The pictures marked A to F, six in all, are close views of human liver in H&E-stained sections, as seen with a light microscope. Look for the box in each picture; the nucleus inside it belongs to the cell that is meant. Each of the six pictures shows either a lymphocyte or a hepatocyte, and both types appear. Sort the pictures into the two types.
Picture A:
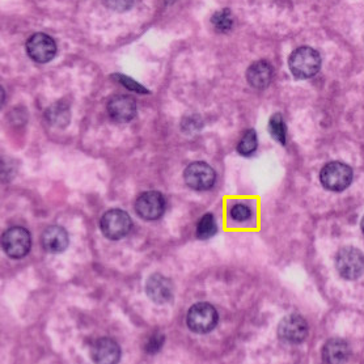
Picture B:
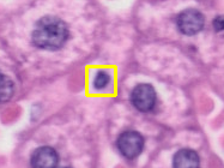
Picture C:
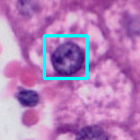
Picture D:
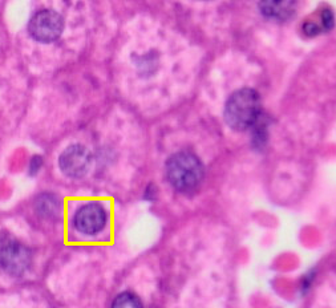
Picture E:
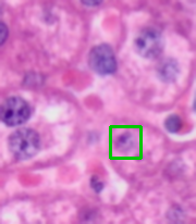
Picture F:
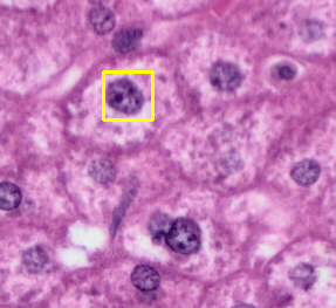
A: lymphocyte
B: lymphocyte
C: hepatocyte
D: hepatocyte
E: hepatocyte
F: hepatocyte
